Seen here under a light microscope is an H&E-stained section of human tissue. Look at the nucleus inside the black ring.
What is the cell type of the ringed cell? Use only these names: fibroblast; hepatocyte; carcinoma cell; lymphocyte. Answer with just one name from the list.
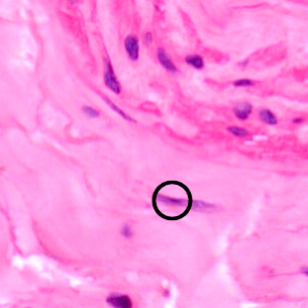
fibroblast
